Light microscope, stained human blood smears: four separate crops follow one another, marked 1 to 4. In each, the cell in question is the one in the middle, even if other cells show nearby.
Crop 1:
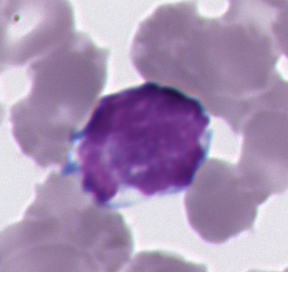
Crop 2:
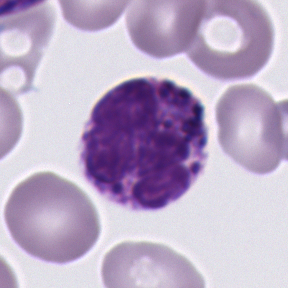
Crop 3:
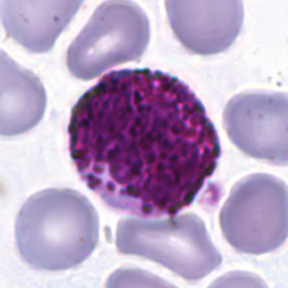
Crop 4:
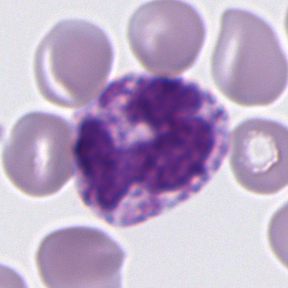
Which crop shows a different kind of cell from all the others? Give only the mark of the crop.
1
